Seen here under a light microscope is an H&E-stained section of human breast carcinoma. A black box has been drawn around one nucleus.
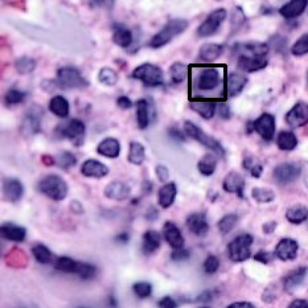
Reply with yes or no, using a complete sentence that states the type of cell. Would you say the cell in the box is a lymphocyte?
Yes, the cell in the box is categorized as a lymphocyte in this section.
